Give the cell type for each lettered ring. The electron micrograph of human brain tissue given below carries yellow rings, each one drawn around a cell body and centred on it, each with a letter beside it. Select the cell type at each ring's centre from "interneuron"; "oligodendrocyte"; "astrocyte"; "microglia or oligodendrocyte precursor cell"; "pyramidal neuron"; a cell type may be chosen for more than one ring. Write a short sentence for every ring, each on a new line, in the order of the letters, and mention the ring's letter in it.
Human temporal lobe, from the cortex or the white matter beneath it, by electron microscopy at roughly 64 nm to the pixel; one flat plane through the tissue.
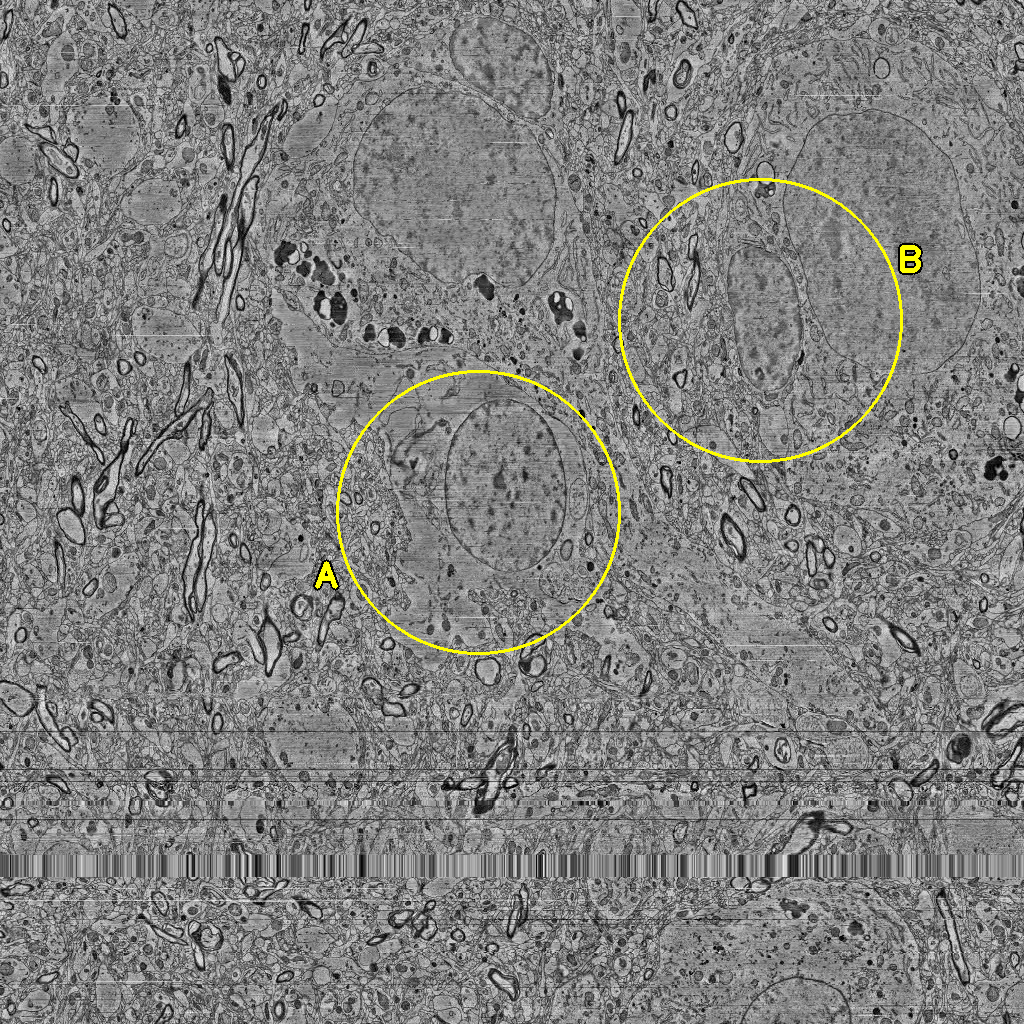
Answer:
The cell type for ring A is an astrocyte.
The cell type for ring B is an oligodendrocyte.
